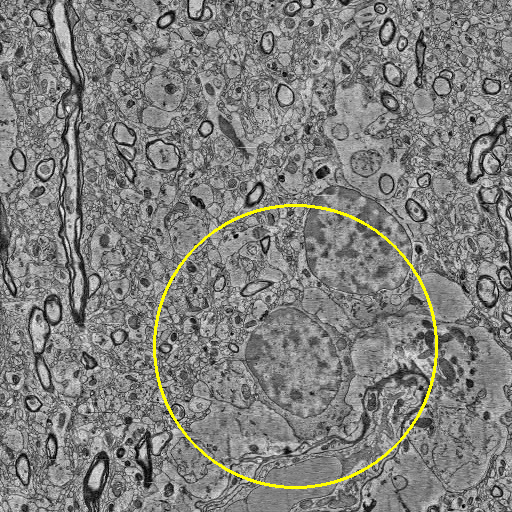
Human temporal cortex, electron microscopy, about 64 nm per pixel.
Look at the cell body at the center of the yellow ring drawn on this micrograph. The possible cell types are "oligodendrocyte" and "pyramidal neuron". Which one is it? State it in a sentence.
The cell in the middle of the ring is an oligodendrocyte.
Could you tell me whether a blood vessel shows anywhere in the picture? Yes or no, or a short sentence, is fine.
Yes, the image shows a blood vessel.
